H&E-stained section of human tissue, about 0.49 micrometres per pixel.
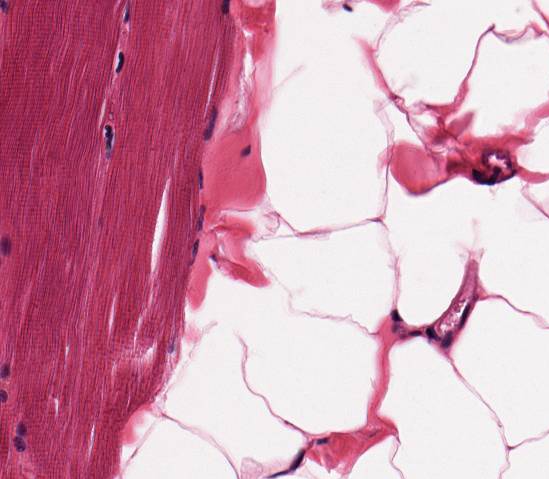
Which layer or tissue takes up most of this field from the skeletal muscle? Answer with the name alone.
fat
